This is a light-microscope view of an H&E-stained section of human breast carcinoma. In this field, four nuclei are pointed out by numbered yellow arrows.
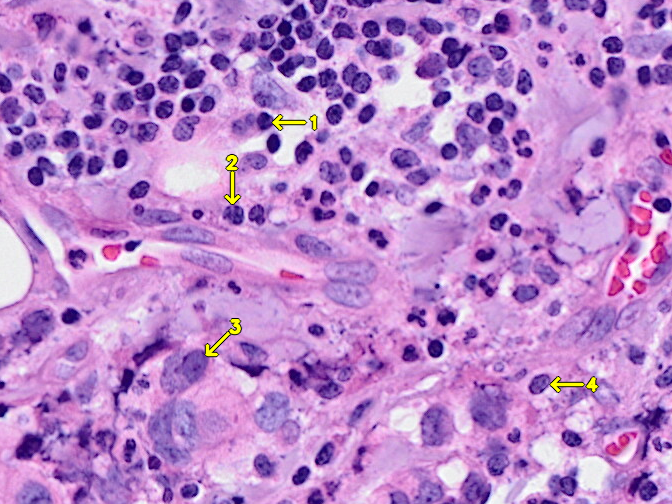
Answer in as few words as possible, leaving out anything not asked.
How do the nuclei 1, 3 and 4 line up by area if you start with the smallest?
1, 4, 3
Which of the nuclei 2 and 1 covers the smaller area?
1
